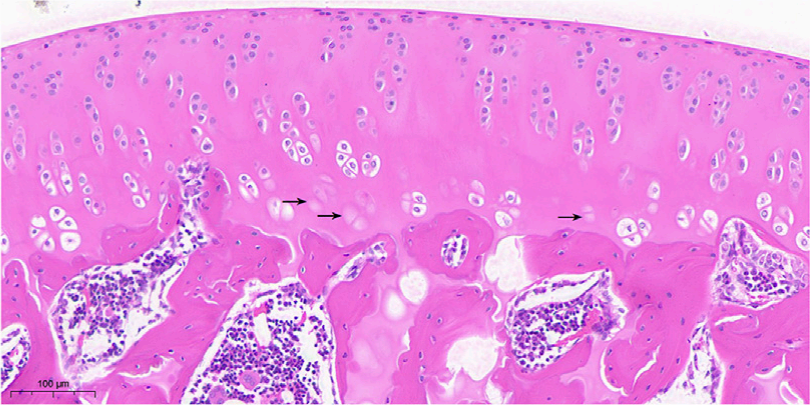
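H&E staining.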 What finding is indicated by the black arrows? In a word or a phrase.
Chondrocytes without the nucleus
